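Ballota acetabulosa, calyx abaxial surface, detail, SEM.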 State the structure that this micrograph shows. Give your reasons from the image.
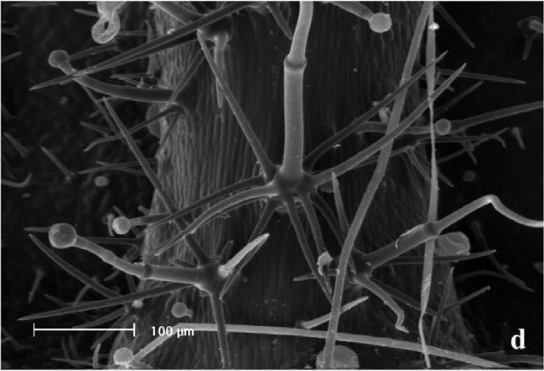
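Dendritic trichomes. Several hairs branch from one central point into many long, pointed arms. The branched hairs lie over a longitudinally striated surface. Small stalked hairs with round heads stand among them.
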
